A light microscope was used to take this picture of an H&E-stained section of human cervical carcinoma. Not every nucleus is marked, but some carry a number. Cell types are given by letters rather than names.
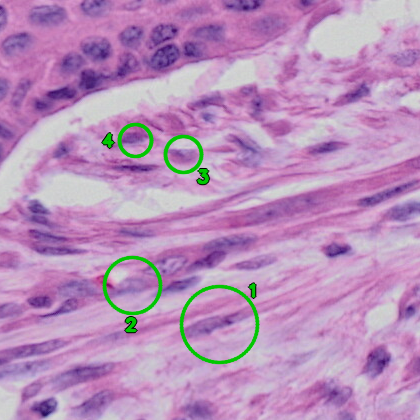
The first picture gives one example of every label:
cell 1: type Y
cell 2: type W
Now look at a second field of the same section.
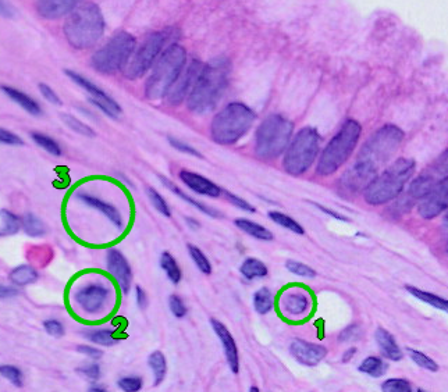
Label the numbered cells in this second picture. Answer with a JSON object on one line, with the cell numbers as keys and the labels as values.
{"1": "type W", "2": "type W", "3": "type Y"}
